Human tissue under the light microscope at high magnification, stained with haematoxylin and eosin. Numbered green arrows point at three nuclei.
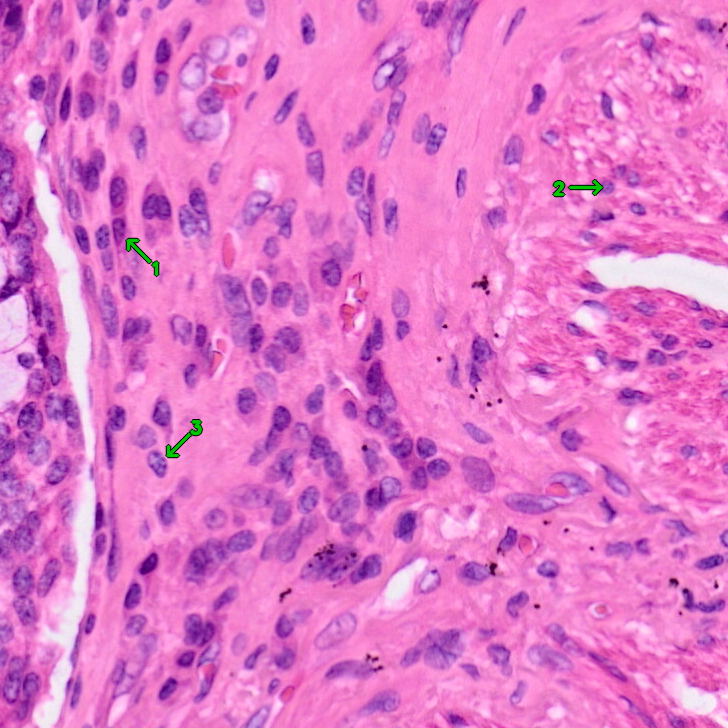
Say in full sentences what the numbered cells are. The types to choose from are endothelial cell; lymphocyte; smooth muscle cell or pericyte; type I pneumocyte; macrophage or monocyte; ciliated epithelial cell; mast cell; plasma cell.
Cell 1 is a plasma cell, cell 2 is a smooth muscle cell or pericyte and cell 3 is a mast cell.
